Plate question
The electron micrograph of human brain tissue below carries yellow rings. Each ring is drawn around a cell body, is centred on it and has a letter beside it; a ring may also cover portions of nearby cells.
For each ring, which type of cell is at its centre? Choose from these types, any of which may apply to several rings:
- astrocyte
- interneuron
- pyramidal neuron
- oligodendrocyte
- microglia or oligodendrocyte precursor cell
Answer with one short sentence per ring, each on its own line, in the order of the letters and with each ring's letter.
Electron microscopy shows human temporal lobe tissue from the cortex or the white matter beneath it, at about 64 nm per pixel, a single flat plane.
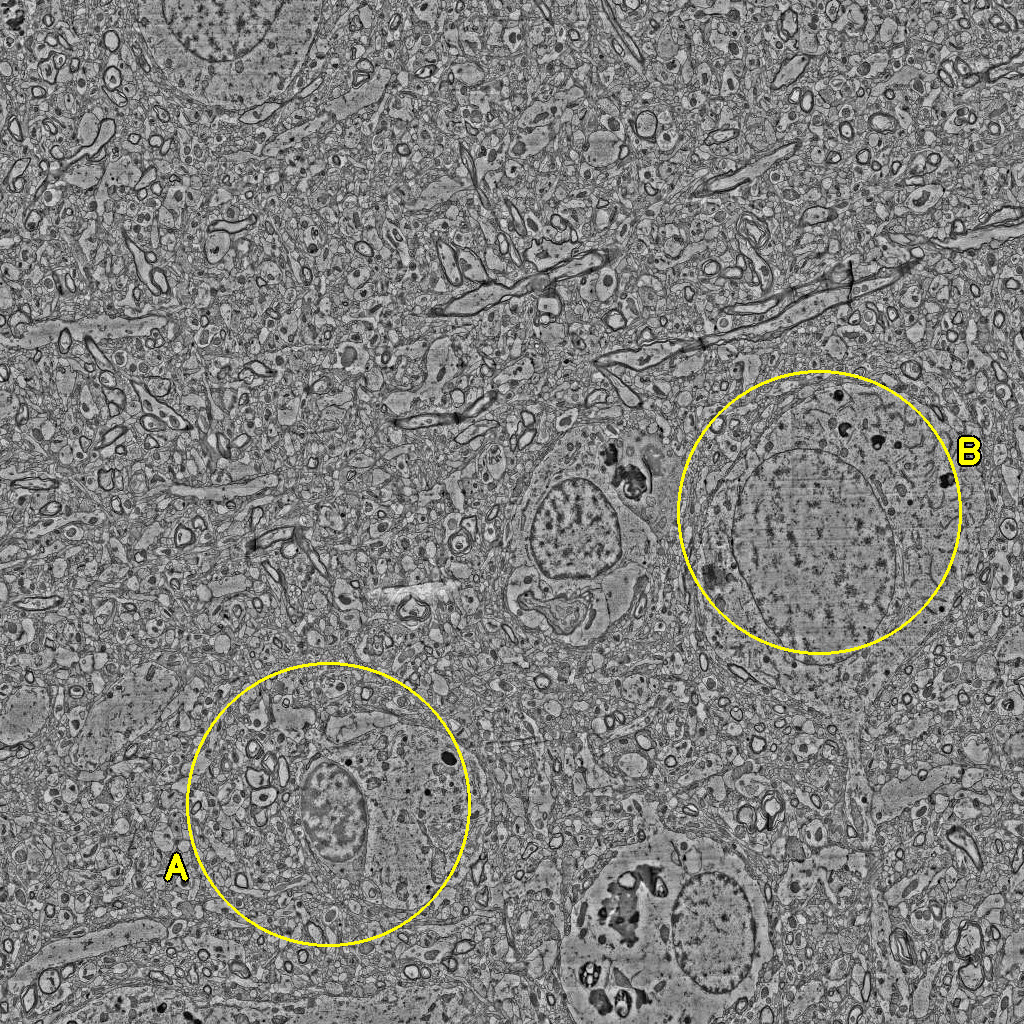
The cell ringed as A is an oligodendrocyte.
The cell ringed as B is a pyramidal neuron.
